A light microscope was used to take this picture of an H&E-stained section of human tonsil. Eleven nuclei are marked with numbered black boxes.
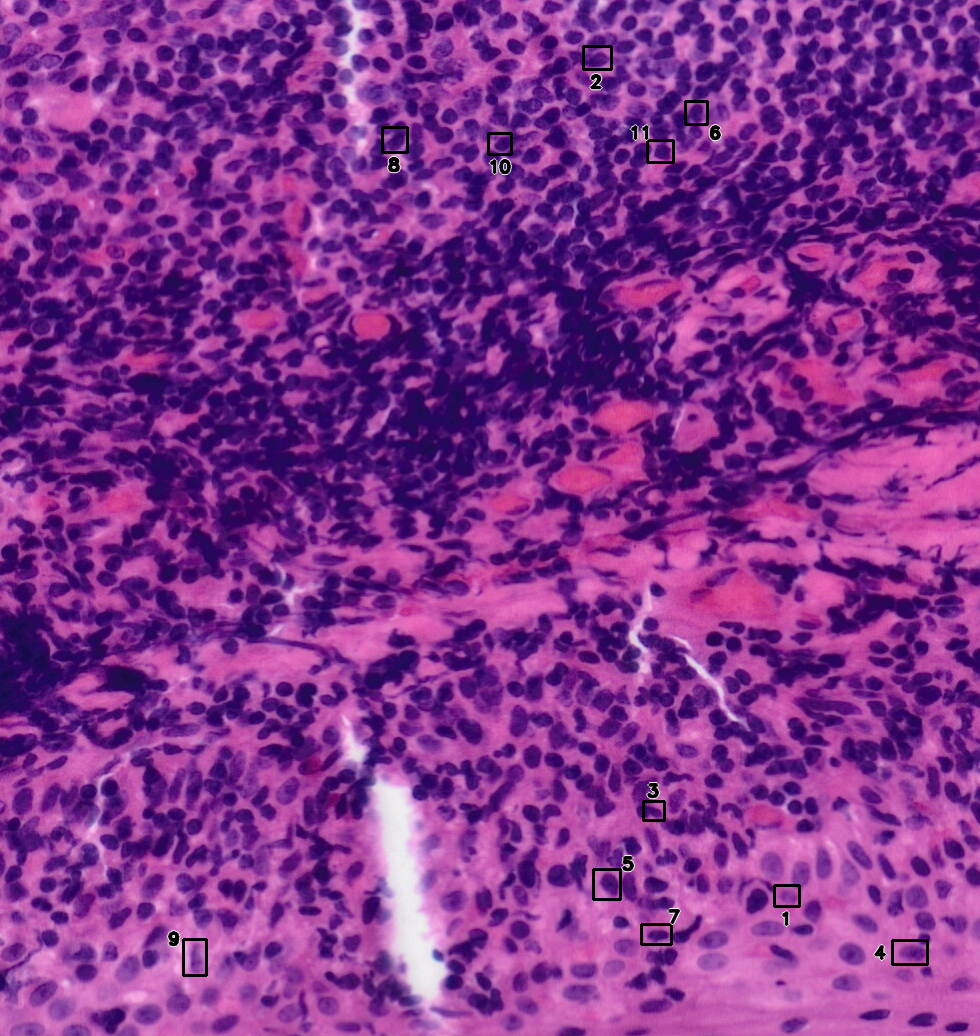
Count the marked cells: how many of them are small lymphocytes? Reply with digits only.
5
